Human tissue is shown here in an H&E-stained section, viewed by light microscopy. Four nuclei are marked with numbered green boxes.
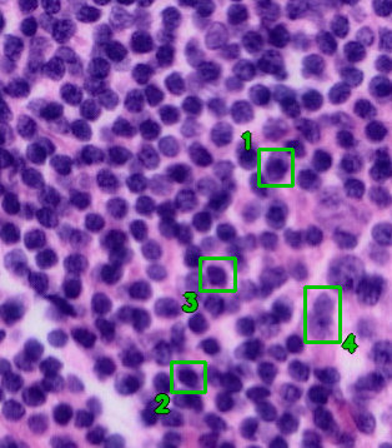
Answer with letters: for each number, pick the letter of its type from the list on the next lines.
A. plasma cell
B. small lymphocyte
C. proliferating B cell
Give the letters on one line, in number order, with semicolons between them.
B; B; B; C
